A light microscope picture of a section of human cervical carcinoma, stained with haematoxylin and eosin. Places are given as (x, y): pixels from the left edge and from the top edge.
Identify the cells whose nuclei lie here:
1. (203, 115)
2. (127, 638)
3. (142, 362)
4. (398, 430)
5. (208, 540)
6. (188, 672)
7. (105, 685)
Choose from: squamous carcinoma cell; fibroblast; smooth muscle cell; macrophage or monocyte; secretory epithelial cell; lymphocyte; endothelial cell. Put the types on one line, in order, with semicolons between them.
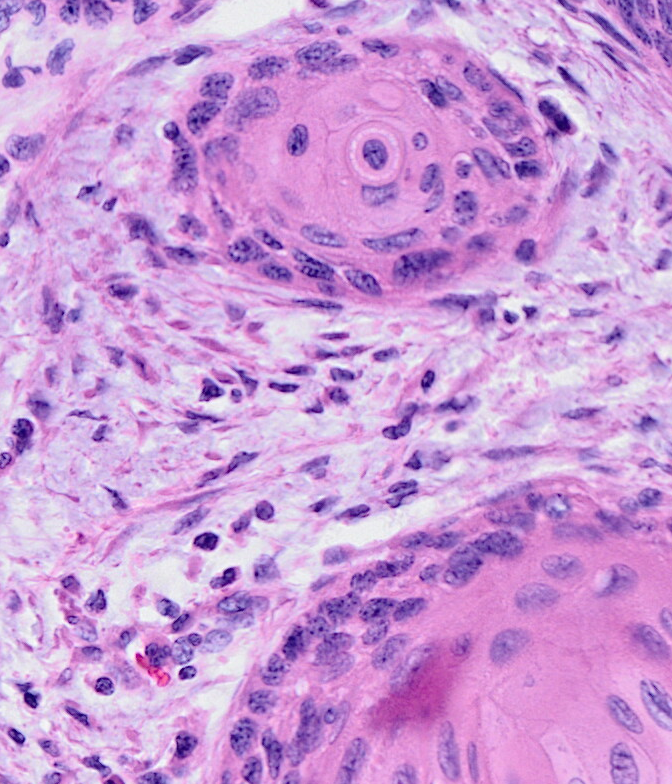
squamous carcinoma cell; endothelial cell; fibroblast; lymphocyte; lymphocyte; lymphocyte; lymphocyte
